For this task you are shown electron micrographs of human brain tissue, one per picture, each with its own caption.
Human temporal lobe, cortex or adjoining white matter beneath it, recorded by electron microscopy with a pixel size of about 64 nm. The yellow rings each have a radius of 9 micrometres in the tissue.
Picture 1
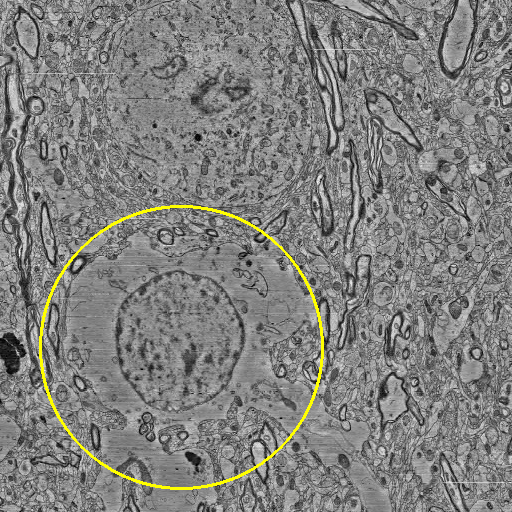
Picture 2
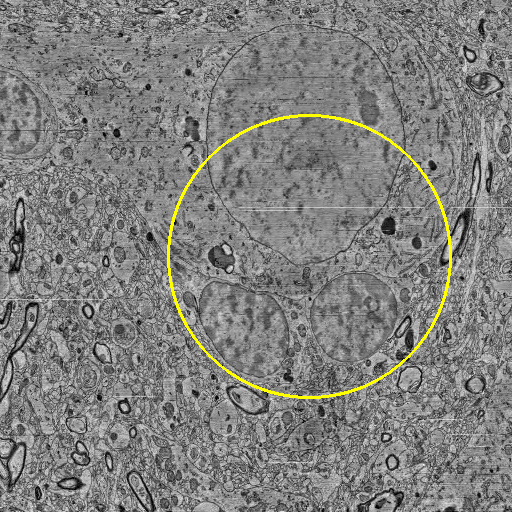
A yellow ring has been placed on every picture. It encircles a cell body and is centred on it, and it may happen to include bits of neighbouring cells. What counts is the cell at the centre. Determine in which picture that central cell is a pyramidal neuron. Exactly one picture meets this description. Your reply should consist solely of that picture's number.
2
